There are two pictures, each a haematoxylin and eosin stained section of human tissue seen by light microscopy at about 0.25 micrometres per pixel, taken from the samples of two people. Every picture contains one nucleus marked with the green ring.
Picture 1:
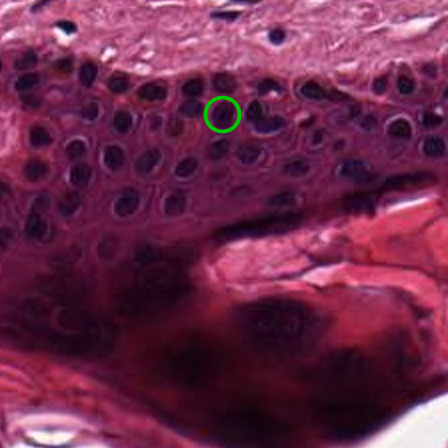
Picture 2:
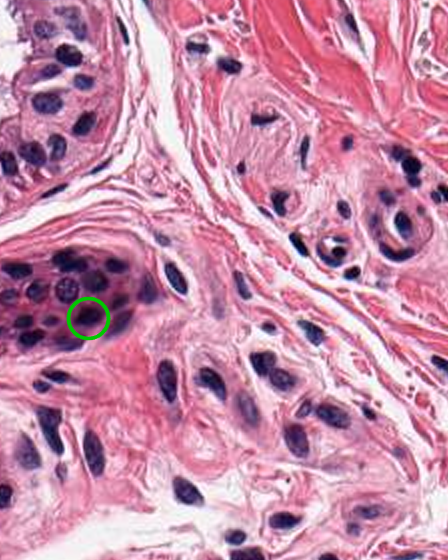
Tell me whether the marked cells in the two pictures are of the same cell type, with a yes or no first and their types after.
No, the first is a keratinocyte and the second a sweat gland cell.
